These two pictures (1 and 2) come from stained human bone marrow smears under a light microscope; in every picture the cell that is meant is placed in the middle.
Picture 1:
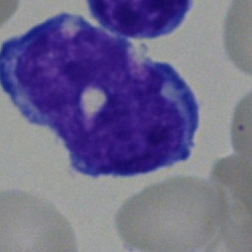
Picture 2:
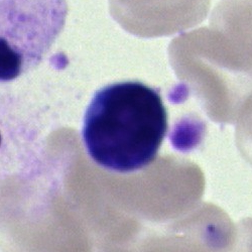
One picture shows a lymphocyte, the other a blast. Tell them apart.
1: blast
2: lymphocyte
